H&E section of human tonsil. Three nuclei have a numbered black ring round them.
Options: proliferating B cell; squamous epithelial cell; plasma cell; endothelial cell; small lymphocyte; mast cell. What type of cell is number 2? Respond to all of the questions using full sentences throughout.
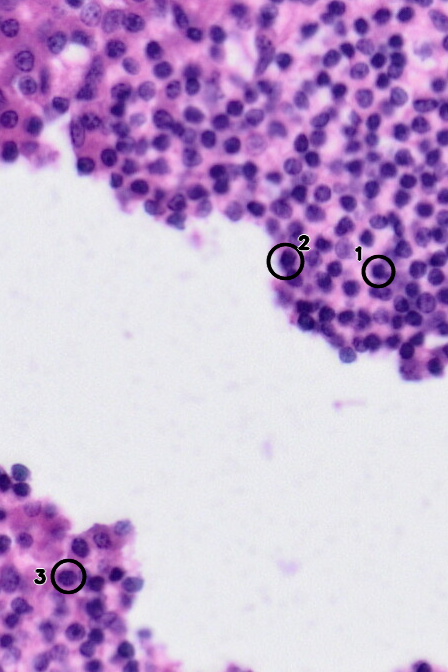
The cell with the number 2 is a small lymphocyte.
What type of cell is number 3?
The cell pointed out by number 3 is a plasma cell.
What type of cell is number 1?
The cell carrying label 1 is identified as a small lymphocyte.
